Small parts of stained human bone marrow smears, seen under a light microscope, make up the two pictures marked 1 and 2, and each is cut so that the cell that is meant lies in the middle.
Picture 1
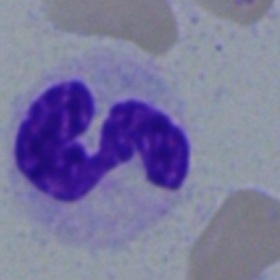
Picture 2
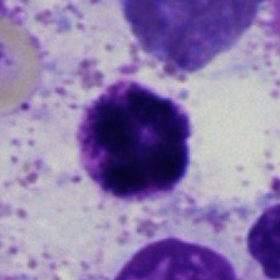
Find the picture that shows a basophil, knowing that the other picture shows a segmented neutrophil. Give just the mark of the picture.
2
